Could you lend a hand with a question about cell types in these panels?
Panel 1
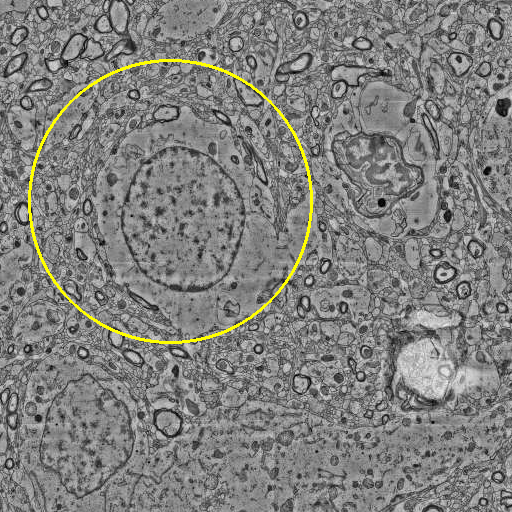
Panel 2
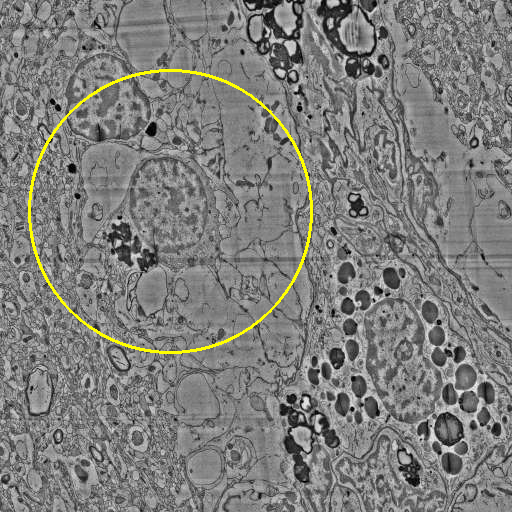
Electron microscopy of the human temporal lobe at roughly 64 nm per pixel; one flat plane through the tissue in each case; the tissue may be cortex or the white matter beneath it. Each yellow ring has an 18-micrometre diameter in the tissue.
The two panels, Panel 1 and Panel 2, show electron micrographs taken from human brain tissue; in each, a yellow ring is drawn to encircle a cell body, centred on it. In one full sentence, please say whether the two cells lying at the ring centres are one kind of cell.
No, the cells at the ring centres in the two panels are two kinds of cell.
